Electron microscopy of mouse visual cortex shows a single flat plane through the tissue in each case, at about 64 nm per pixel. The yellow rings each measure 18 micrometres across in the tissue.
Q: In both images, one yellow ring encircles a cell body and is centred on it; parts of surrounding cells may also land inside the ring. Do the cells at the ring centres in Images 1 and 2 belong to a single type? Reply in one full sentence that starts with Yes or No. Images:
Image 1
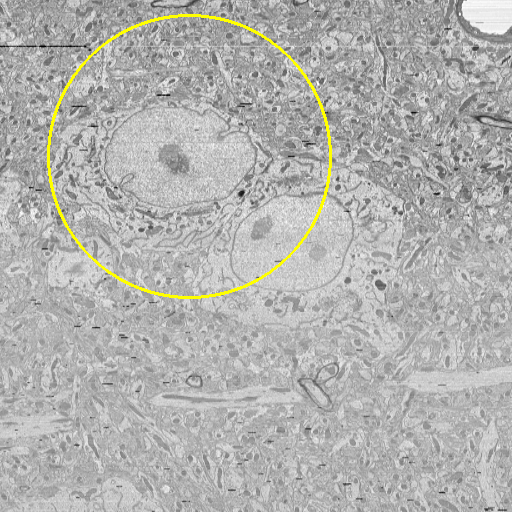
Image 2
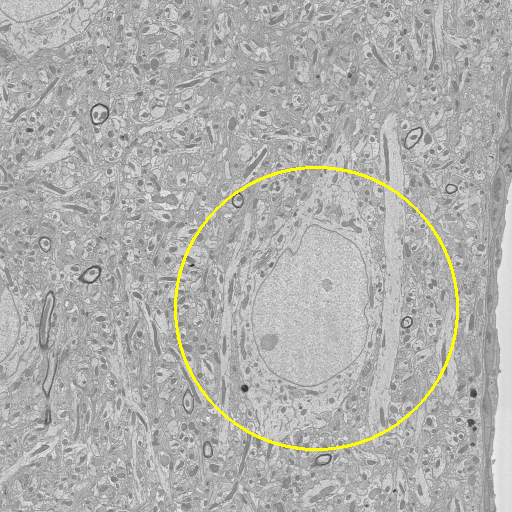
No, the cells at the ring centres in Images 1 and 2 are of two types.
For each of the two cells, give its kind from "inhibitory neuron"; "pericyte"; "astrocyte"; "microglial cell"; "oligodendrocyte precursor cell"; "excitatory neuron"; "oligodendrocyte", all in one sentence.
The first picture has an inhibitory neuron in its ring, the second has an excitatory neuron.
